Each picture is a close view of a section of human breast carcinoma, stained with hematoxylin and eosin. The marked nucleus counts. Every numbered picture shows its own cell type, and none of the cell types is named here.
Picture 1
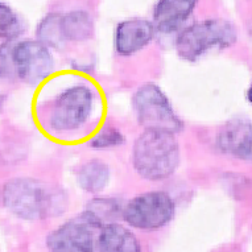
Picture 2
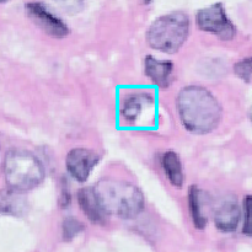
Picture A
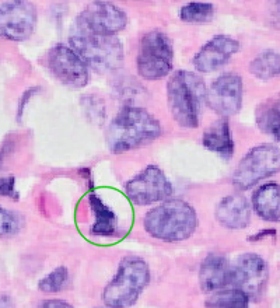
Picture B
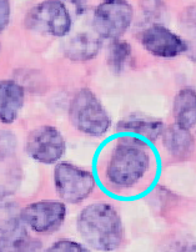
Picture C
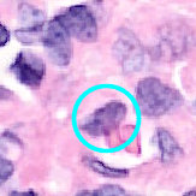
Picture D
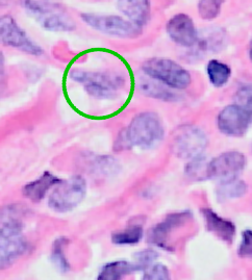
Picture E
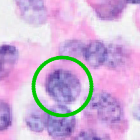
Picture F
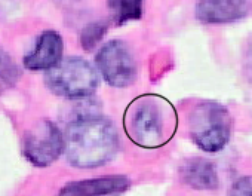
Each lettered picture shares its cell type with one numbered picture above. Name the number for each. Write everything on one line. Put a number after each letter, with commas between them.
A 2, B 1, C 2, D 2, E 1, F 2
